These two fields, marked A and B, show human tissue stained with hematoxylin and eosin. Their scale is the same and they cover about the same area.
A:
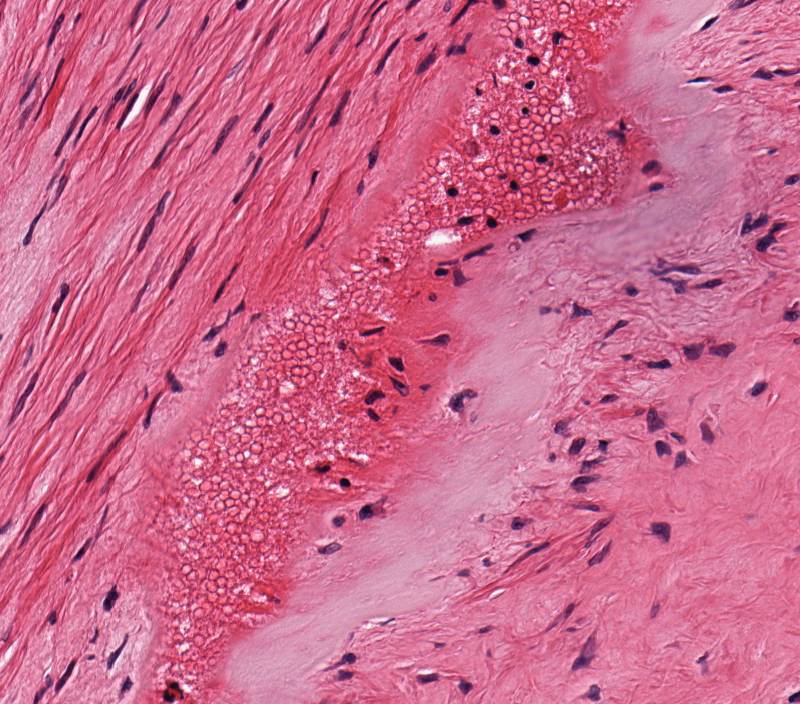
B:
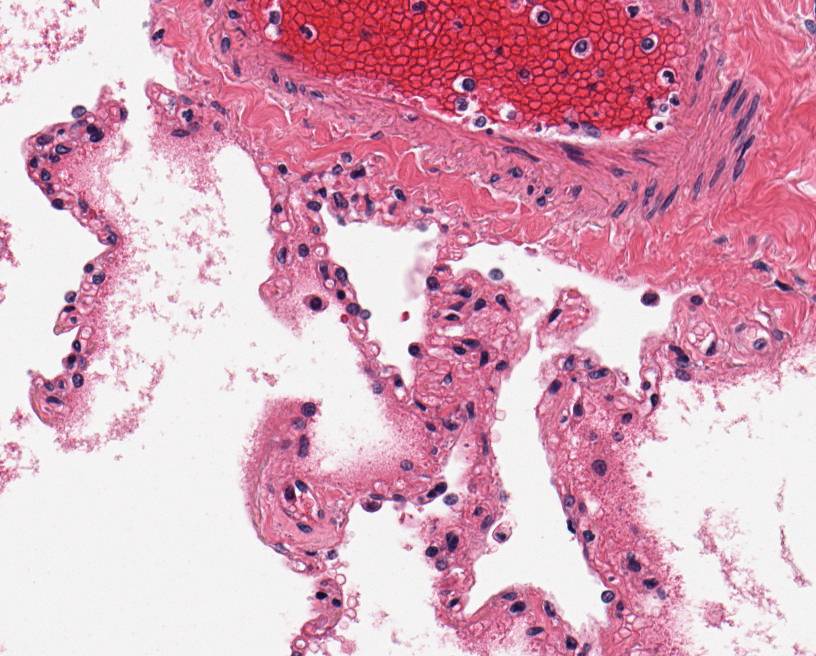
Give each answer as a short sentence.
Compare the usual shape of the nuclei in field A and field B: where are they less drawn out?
On the whole the nuclei of field B are rounder than those of field A.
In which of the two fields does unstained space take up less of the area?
Less of field A is empty and white.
